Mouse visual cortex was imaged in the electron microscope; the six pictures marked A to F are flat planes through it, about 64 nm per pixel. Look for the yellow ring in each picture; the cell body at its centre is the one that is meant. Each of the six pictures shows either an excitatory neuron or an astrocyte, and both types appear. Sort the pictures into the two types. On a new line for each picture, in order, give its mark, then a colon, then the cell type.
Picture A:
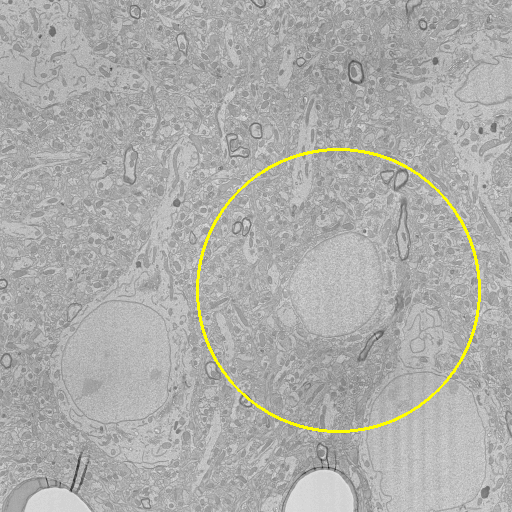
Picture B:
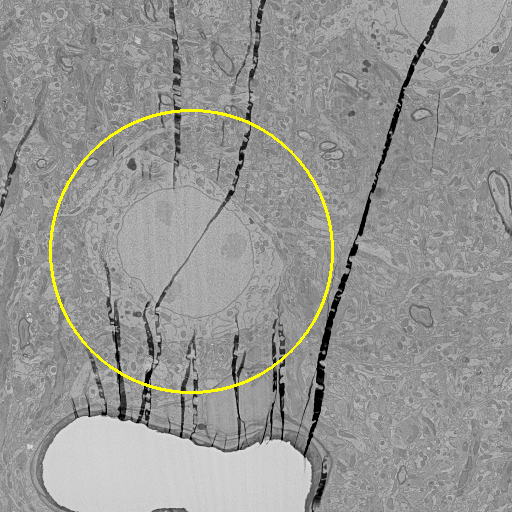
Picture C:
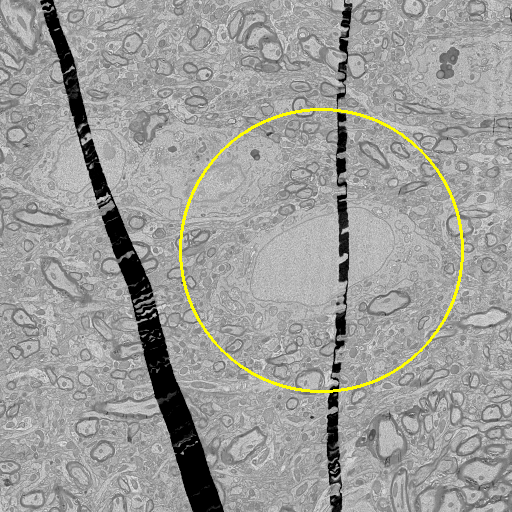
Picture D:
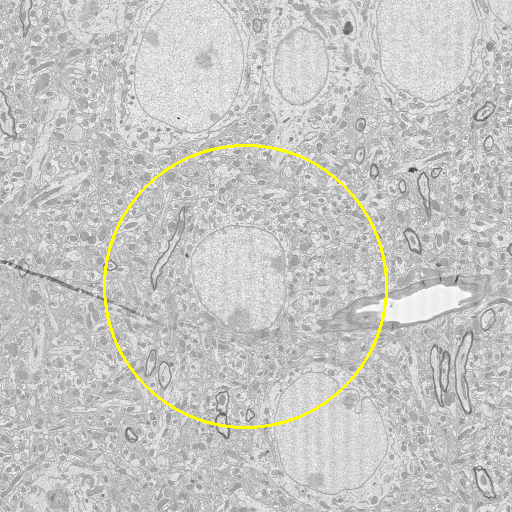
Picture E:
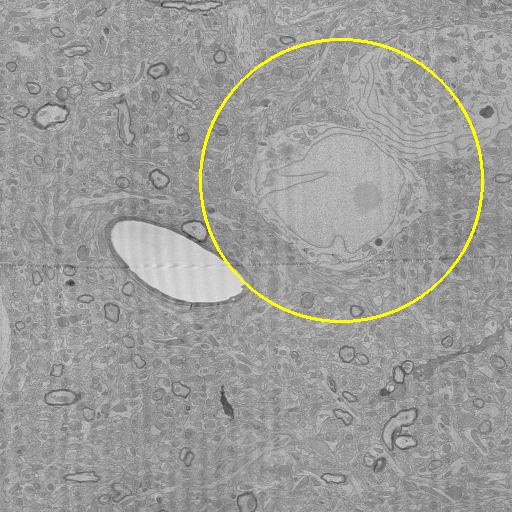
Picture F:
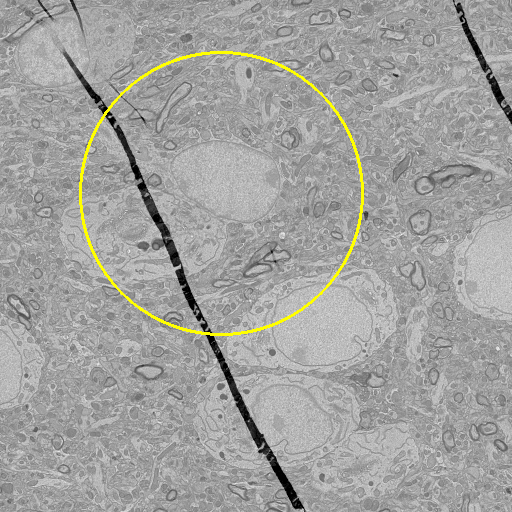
A: astrocyte
B: excitatory neuron
C: excitatory neuron
D: astrocyte
E: excitatory neuron
F: astrocyte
